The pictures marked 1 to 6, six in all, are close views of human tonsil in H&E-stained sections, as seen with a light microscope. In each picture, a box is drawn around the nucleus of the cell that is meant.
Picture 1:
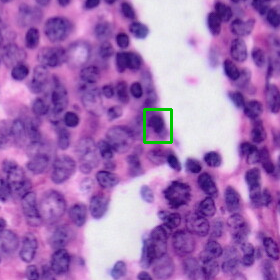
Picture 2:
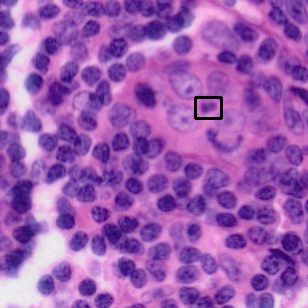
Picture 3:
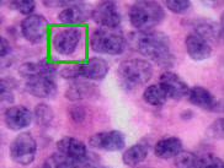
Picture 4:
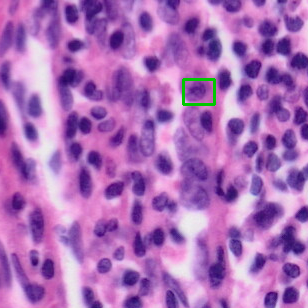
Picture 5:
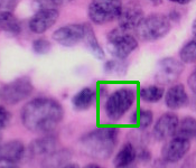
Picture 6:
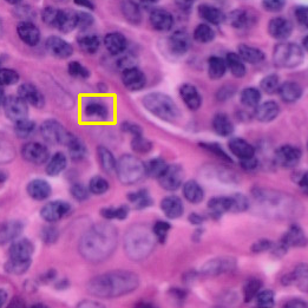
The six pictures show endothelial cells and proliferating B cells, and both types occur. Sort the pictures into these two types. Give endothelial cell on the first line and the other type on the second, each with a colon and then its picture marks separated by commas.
endothelial cell: 2, 4, 6
proliferating B cell: 1, 3, 5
